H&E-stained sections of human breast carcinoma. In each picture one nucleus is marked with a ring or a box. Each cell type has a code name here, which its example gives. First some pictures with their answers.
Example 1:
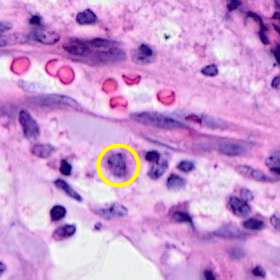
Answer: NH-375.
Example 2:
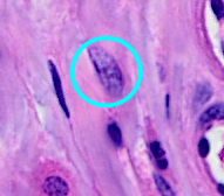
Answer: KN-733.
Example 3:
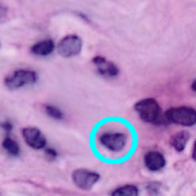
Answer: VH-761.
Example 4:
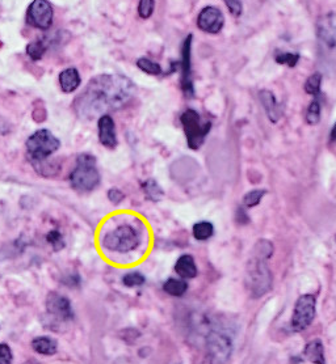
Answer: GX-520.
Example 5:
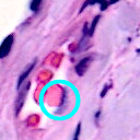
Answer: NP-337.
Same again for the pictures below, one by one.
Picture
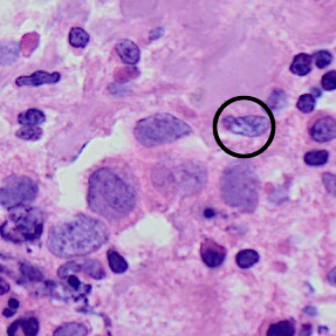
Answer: GX-520.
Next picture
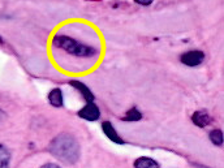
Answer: NH-375.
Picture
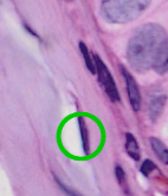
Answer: KN-733.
